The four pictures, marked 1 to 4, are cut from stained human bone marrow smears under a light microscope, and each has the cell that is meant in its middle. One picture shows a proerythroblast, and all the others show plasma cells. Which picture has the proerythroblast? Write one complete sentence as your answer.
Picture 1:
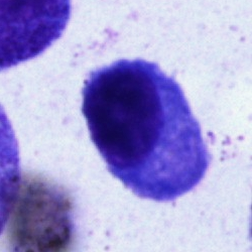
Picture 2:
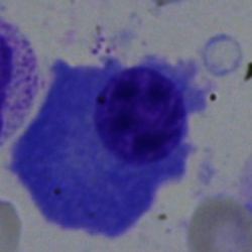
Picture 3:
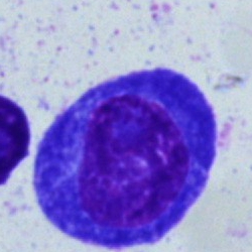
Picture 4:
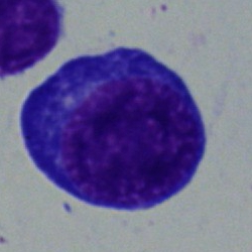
The proerythroblast is the one in picture 4.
